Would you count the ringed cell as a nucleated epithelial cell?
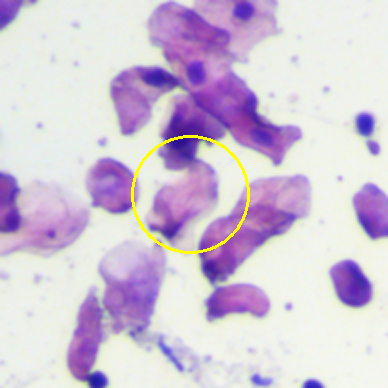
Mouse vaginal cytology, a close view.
No, I would count it as a cornified epithelial cell.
